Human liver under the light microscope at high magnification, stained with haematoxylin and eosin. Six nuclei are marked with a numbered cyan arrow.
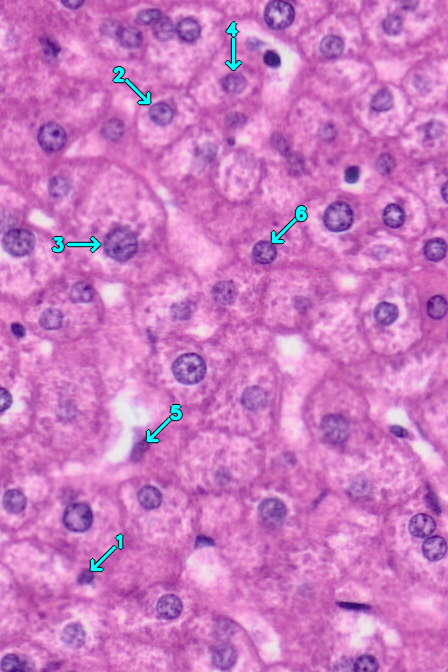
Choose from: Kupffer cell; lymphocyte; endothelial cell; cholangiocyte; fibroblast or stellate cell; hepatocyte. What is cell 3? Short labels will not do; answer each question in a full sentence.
Cell 3 of the marked set is a hepatocyte.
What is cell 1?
The cell marked with the number 1 is an endothelial cell.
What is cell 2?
The one labeled 2 is a hepatocyte, to put it simply.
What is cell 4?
Nucleus 4 in this section belongs to a hepatocyte.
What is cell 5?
The one labeled 5 is a Kupffer cell, to put it simply.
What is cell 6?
Identified by the number 6, the cell is a hepatocyte.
